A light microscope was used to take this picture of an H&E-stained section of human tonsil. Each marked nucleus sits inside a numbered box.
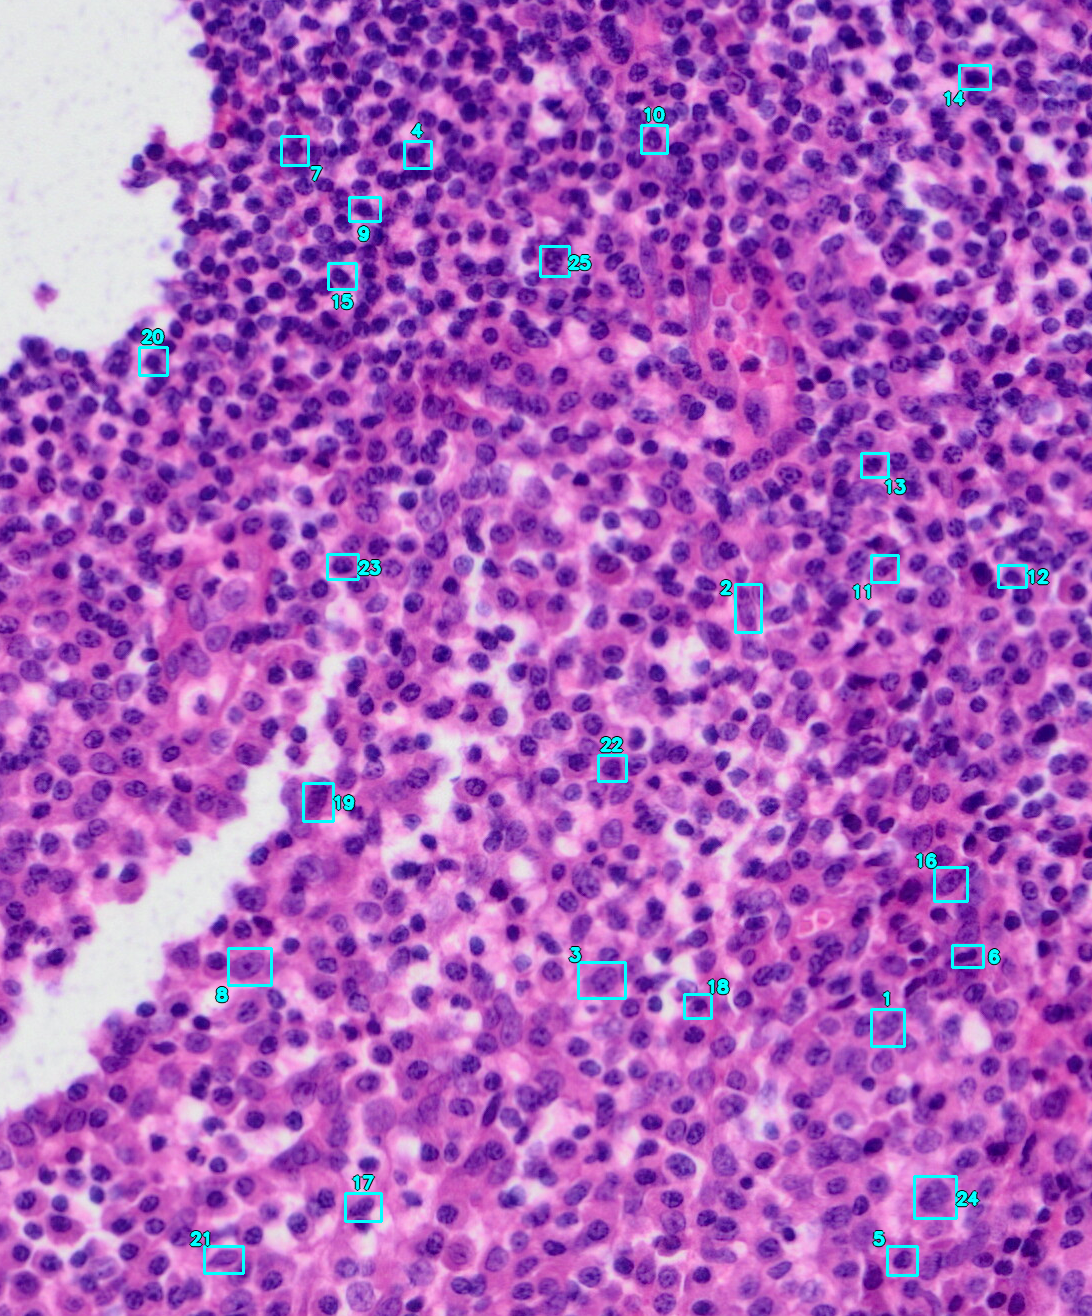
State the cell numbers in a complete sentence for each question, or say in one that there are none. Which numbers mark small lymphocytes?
Within this tissue, the cells numbered 4, 7, 9, 12, 14, 15 and 20 are small lymphocytes.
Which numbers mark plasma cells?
The cells 5, 10, 11, 13, 18, 22, 23 and 25 in this section are plasma cells.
